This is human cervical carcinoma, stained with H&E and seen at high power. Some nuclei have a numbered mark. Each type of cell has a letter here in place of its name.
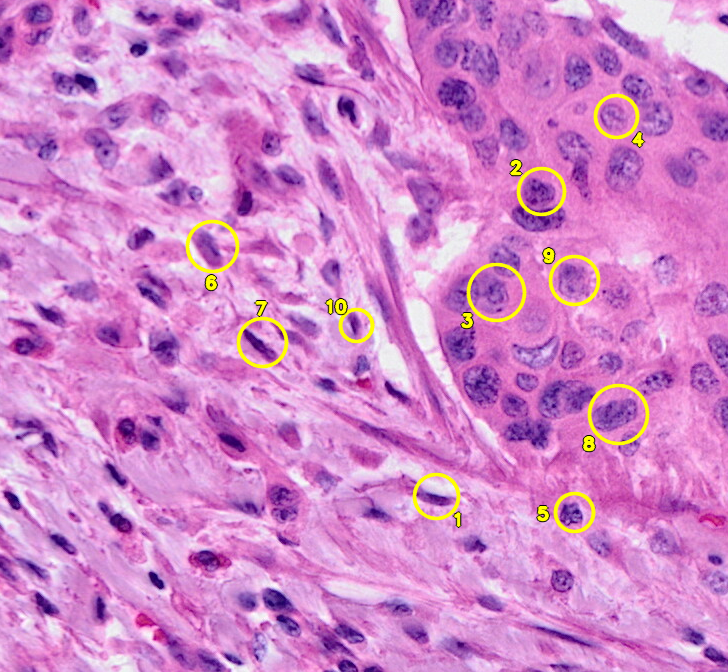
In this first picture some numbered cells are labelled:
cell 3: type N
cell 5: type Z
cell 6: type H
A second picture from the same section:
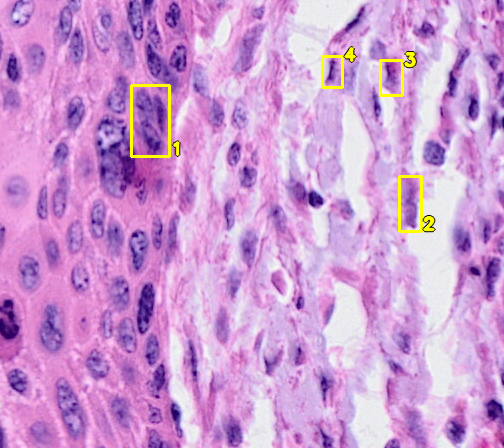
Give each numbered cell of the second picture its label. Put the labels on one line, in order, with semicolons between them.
type N; type H; type H; type H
